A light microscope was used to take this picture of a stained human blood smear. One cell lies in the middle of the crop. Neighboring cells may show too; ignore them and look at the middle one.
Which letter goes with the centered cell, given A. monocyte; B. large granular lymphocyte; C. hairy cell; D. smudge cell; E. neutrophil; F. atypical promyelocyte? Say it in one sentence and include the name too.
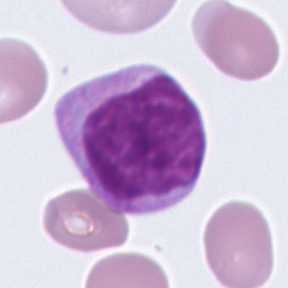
Located in the middle of the crop is an atypical promyelocyte, and option F is therefore correct.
